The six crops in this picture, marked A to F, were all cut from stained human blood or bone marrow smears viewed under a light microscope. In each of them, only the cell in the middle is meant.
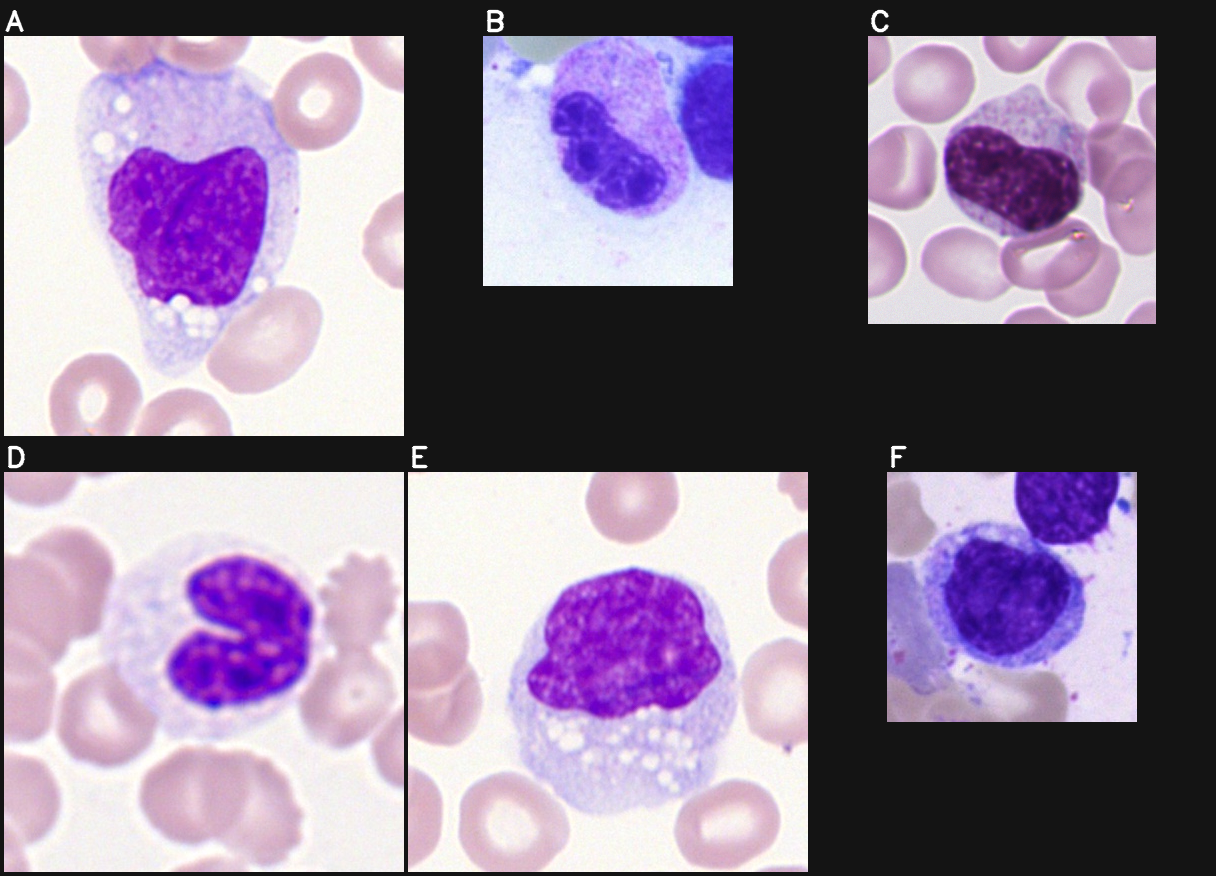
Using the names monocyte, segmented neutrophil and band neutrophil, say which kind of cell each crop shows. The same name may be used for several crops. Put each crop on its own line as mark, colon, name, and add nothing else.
A: monocyte
B: segmented neutrophil
C: band neutrophil
D: band neutrophil
E: monocyte
F: monocyte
